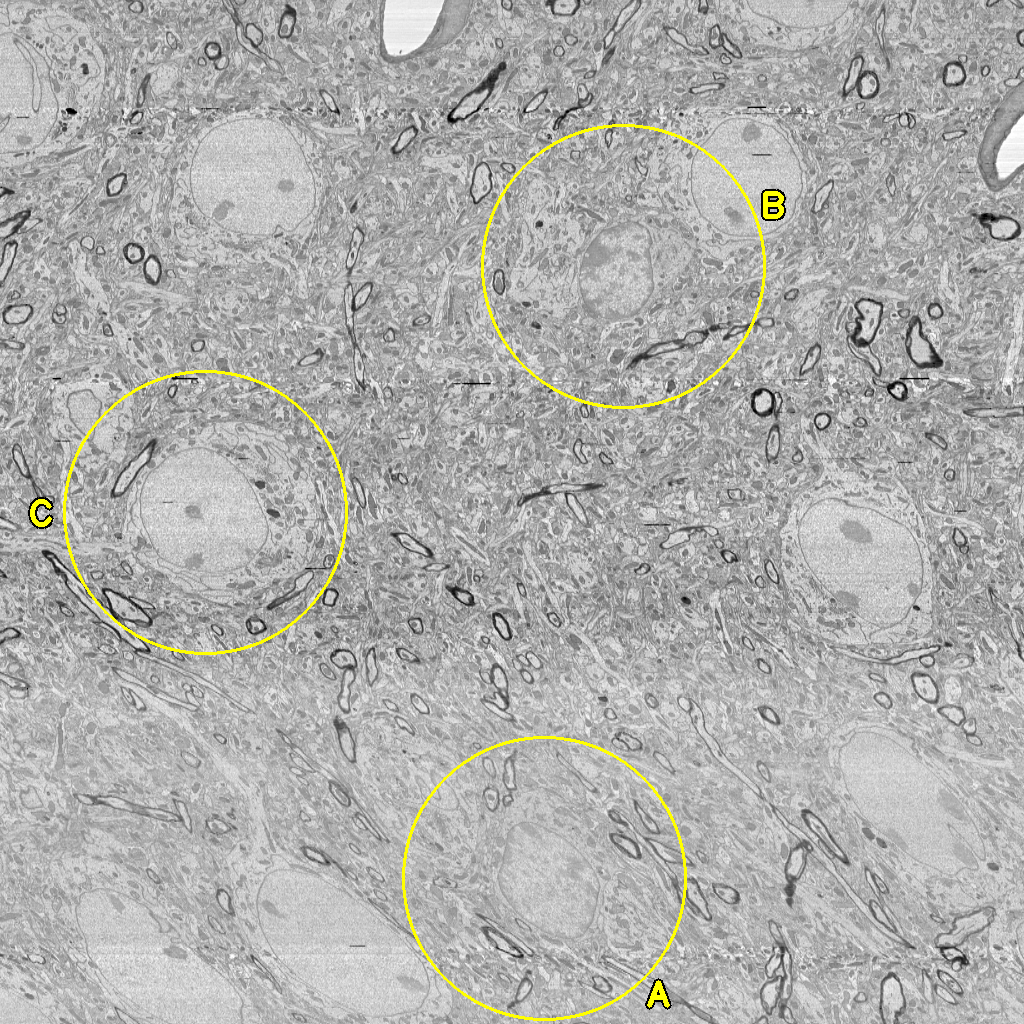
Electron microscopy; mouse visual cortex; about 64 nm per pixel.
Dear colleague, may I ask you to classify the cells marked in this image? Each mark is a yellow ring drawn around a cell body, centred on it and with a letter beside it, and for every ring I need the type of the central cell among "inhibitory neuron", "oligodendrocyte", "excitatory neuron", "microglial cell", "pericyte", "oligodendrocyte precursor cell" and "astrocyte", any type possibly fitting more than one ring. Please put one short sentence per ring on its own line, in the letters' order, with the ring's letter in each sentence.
Ring A contains an oligodendrocyte at its centre.
Ring B contains an oligodendrocyte at its centre.
Ring C contains an excitatory neuron at its centre.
